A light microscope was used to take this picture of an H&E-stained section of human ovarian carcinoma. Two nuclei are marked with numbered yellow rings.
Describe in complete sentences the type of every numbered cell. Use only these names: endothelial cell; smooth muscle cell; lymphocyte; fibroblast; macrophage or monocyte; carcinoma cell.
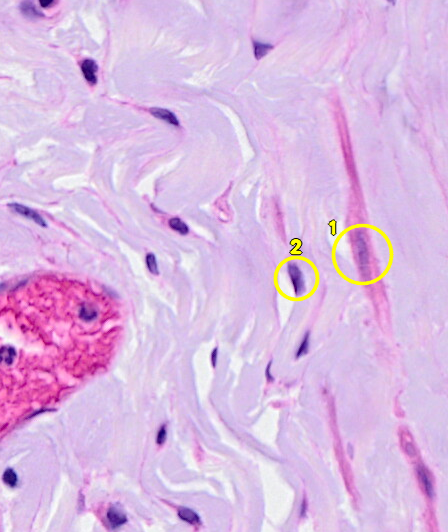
Cell 1 is a smooth muscle cell. Cell 2 is a fibroblast.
